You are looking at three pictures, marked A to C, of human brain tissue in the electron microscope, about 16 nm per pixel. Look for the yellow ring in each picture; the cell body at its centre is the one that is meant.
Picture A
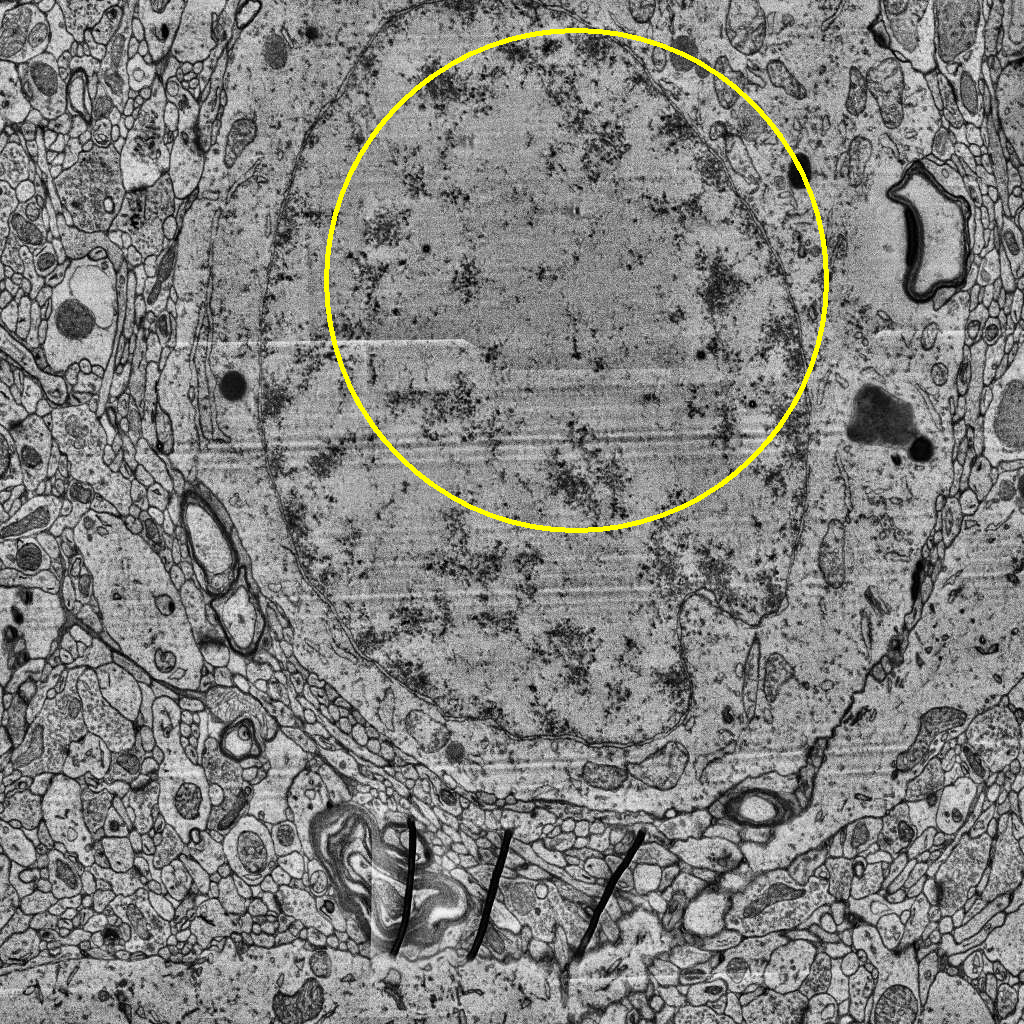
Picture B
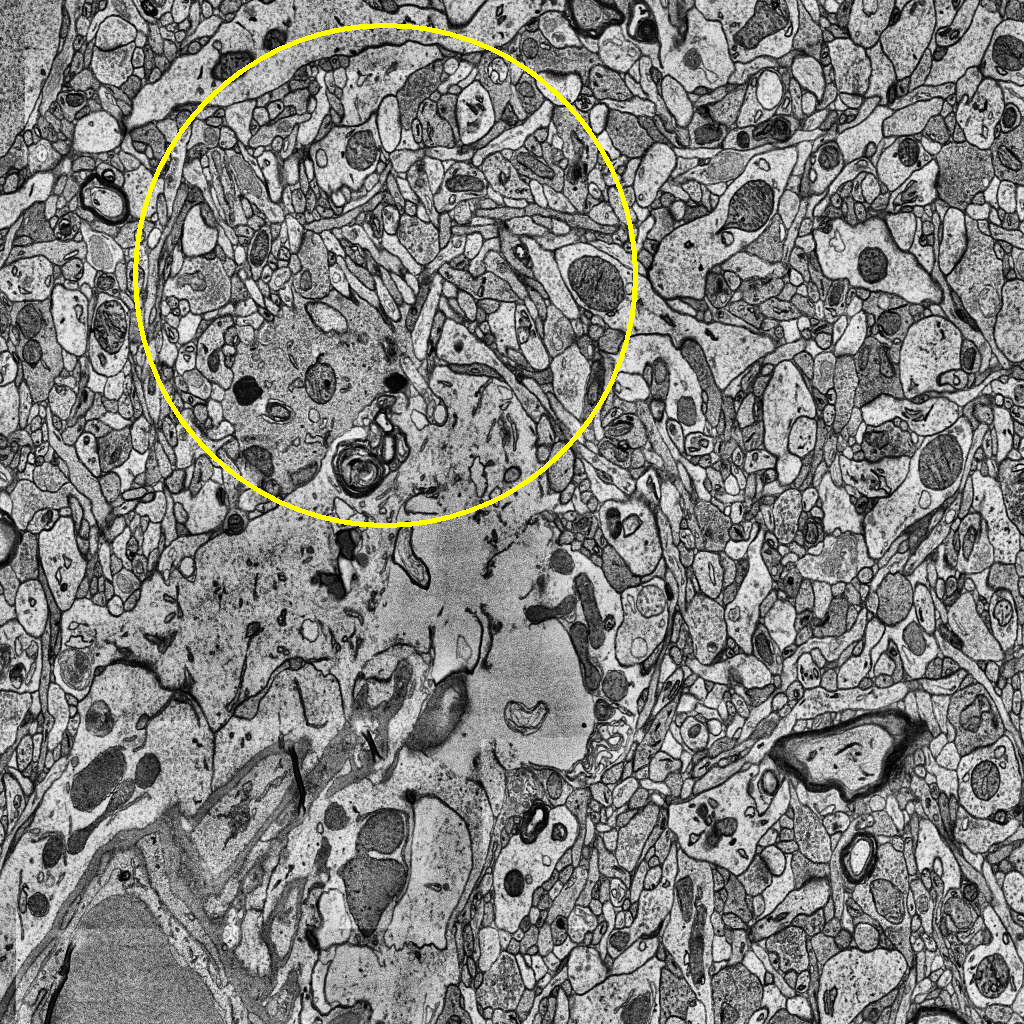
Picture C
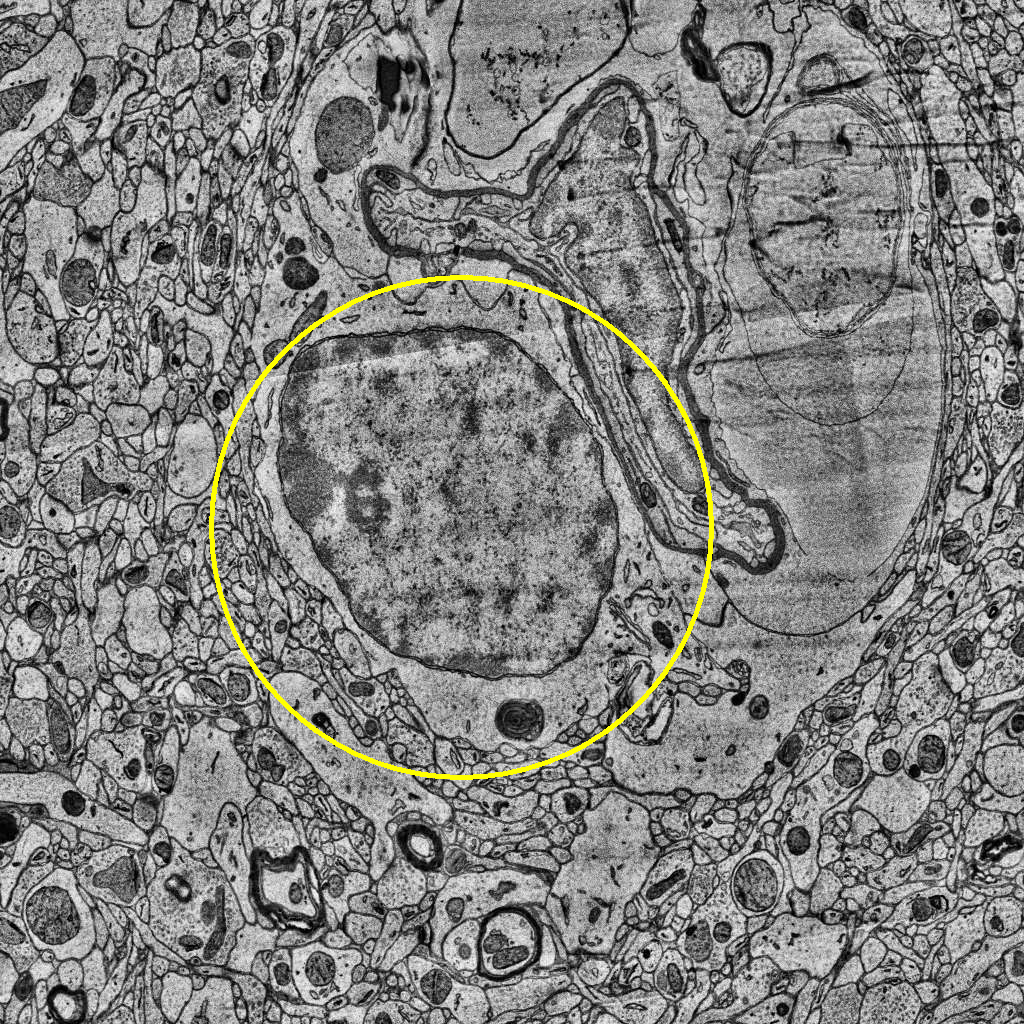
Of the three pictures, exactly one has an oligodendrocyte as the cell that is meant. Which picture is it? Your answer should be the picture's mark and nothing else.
B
